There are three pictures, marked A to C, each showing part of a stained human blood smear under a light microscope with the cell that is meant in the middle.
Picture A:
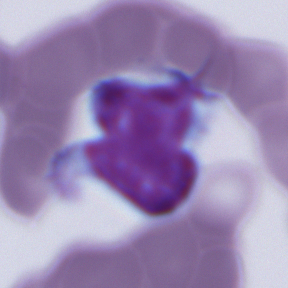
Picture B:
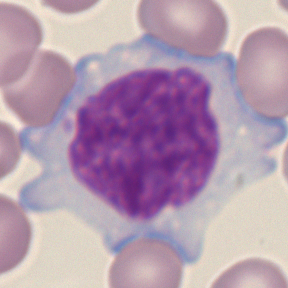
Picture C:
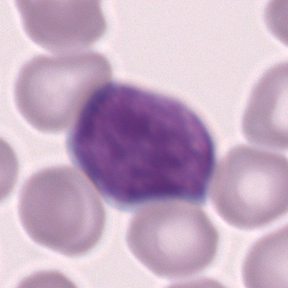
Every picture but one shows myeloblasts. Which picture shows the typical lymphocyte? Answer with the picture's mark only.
A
